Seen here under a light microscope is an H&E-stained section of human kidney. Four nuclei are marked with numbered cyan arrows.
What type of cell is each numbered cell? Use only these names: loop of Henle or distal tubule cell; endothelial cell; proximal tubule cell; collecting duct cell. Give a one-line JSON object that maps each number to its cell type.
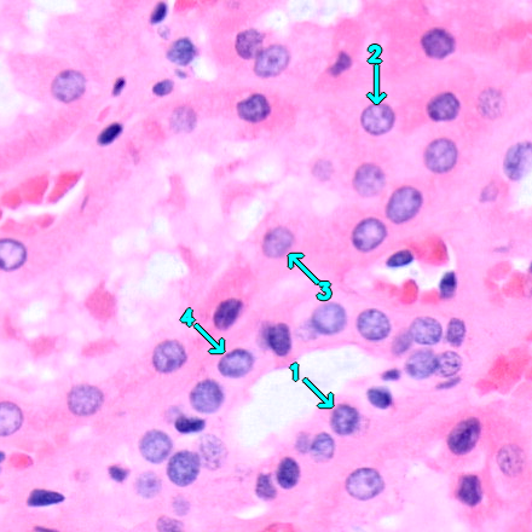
{"1": "collecting duct cell", "2": "proximal tubule cell", "3": "proximal tubule cell", "4": "collecting duct cell"}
